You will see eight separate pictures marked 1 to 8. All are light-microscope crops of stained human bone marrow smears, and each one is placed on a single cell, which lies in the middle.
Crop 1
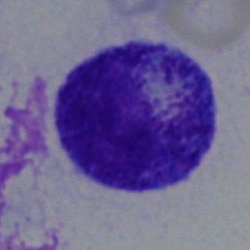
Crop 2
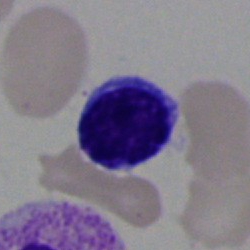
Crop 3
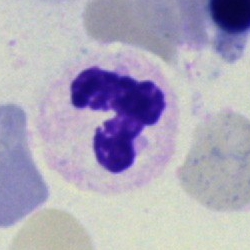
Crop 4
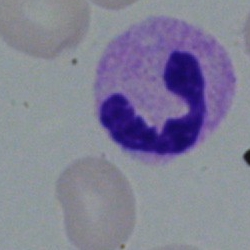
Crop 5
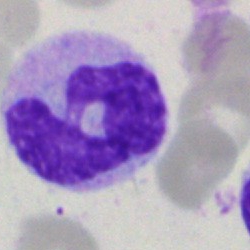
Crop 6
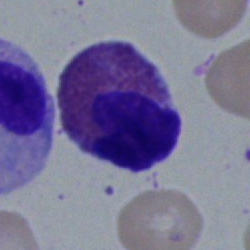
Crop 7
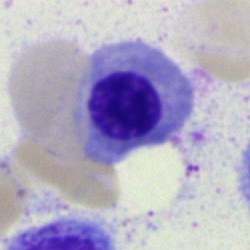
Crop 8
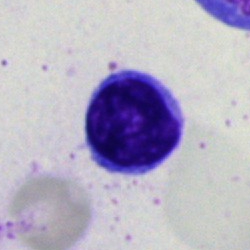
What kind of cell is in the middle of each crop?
1: promyelocyte
2: lymphocyte
3: neutrophil
4: neutrophil
5: monocyte
6: eosinophil
7: normoblast
8: lymphocyte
